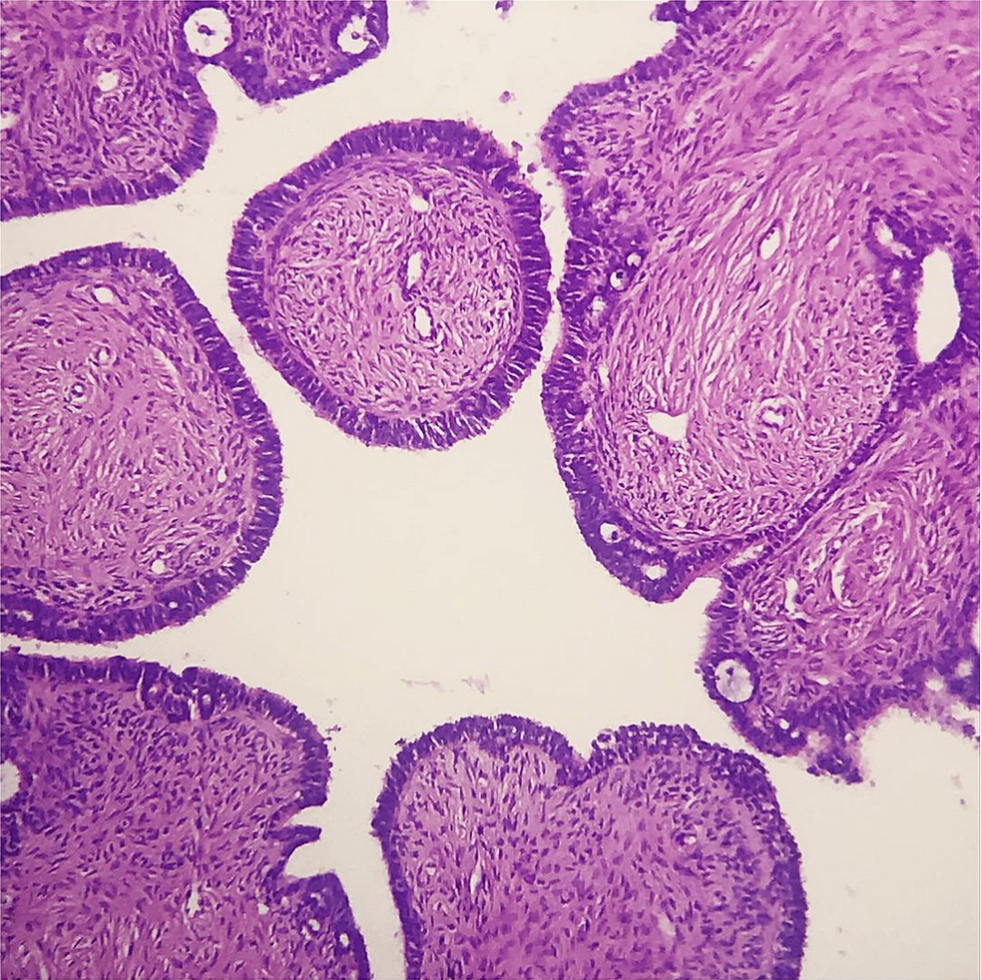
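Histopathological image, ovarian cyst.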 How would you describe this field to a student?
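Every fragment is covered at its surface by a single continuous band of epithelium whose crowded, dark purple, elongated nuclei sit at different heights, giving a pseudostratified look. The luminal edge of this epithelium has a fine fringed border. A few small round clear spaces lie within or just beneath the epithelial band.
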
